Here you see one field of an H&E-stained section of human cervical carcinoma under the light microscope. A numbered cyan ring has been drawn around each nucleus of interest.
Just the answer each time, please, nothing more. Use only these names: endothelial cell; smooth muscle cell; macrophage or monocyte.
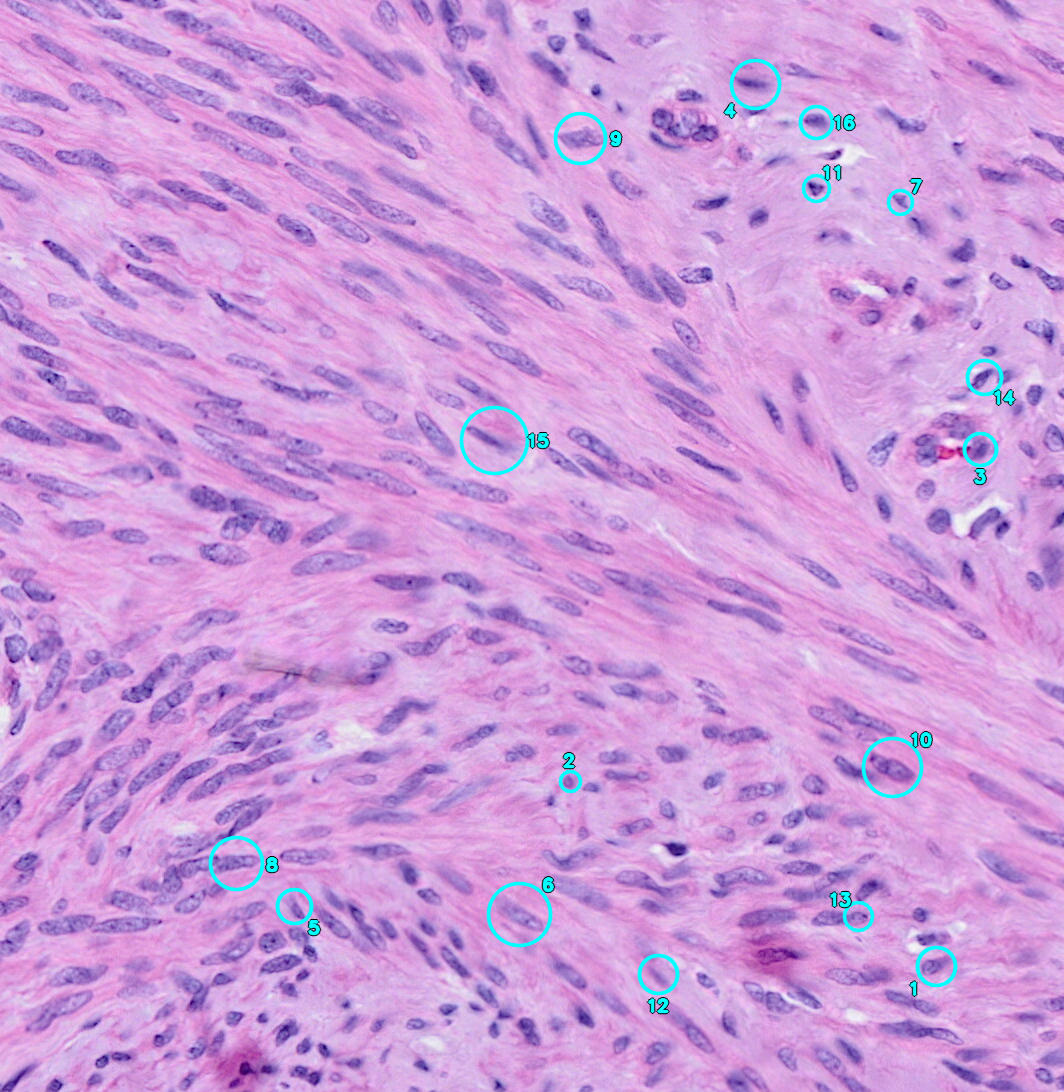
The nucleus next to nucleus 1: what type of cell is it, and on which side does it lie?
a macrophage or monocyte, above nucleus 1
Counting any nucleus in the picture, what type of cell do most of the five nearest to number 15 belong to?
smooth muscle cell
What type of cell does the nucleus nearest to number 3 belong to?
endothelial cell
